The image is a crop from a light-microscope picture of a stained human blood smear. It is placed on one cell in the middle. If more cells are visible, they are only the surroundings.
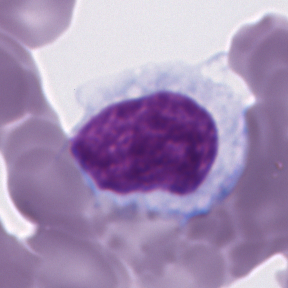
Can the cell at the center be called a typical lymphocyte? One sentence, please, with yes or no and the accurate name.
No, the cell at the centre is categorised not as a typical lymphocyte but as a hairy cell.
